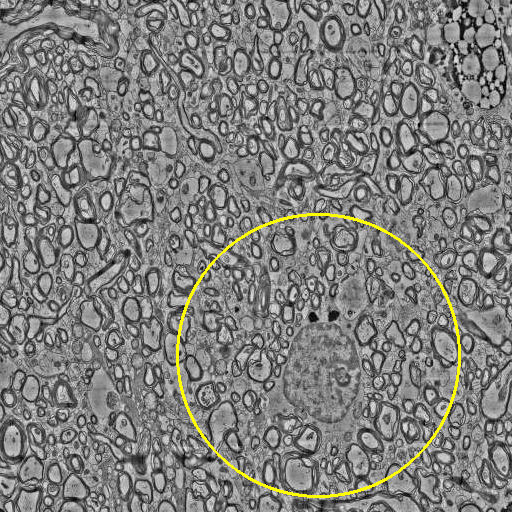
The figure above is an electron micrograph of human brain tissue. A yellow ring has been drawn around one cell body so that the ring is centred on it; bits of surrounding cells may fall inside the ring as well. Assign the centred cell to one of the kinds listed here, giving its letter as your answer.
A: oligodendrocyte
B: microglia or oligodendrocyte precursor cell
A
